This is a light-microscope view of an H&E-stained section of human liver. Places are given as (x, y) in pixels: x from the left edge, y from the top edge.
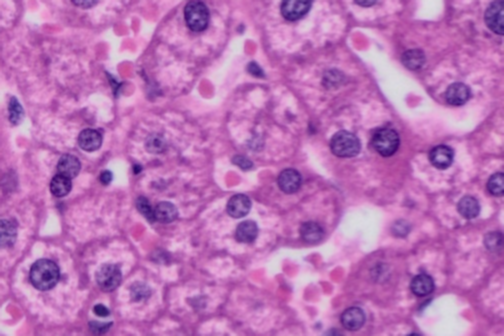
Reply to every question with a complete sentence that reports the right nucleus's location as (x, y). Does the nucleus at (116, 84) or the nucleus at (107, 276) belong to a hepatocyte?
The nucleus belonging to a hepatocyte is the one at (107, 276).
